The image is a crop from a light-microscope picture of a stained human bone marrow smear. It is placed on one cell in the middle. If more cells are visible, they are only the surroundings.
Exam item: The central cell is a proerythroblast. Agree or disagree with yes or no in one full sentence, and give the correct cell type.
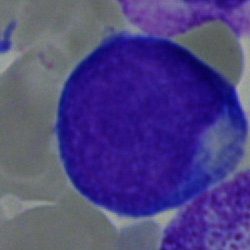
Yes, a proerythroblast is the cell positioned in the middle of the field.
